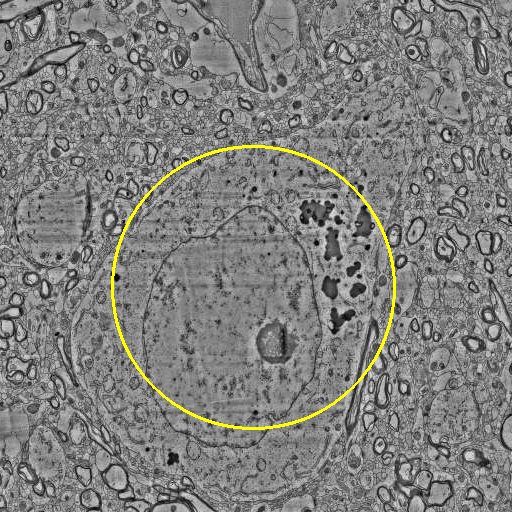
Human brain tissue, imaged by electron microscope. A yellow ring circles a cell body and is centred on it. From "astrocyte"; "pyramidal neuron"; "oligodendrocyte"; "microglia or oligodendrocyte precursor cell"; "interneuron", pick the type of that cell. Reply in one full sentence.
The cell body at the centre of the yellow ring belongs to a pyramidal neuron.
